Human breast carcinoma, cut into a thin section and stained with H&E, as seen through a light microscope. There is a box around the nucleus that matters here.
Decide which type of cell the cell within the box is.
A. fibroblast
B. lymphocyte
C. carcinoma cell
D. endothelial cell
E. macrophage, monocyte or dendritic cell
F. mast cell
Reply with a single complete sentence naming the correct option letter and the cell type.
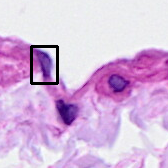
The accurate option is D, with the cell within the box being an endothelial cell.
